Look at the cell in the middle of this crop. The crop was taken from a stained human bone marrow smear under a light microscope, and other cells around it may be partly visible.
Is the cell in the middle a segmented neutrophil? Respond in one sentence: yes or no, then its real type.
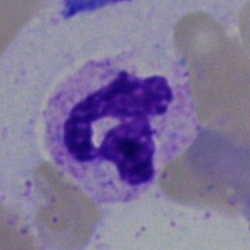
Yes, the cell in the centre is a segmented neutrophil.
